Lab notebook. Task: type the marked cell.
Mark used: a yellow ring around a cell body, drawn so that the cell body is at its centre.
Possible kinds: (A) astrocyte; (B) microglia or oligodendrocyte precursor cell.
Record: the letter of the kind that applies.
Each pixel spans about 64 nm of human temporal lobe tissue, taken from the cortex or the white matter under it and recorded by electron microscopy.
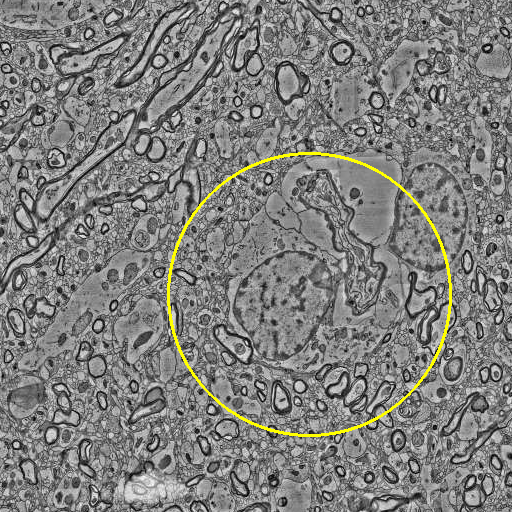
B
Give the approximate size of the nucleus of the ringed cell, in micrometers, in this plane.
In this plane, the nucleus of the cell at the centre of the ring measures about 7 by 6 micrometres.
